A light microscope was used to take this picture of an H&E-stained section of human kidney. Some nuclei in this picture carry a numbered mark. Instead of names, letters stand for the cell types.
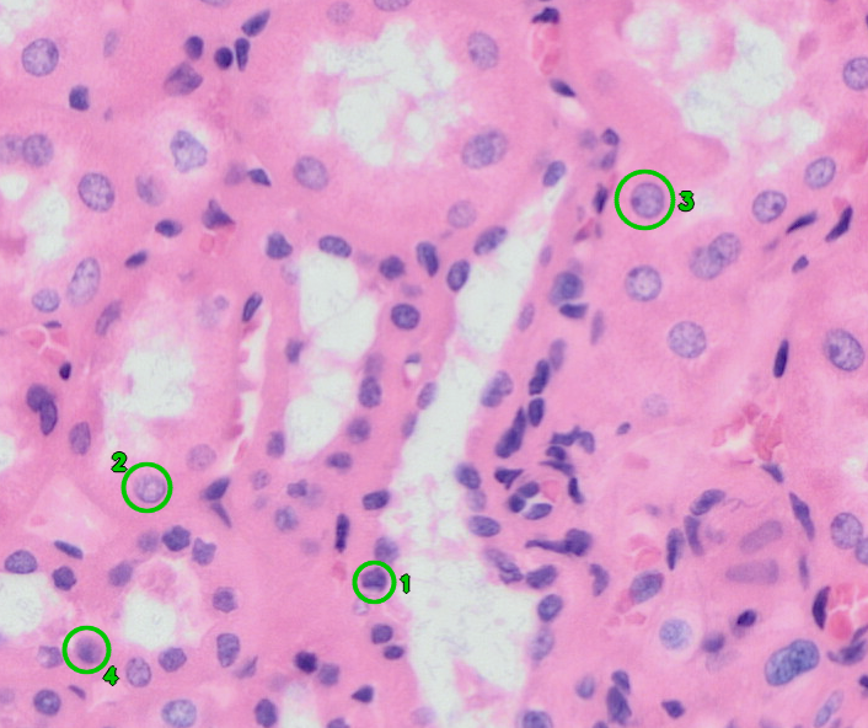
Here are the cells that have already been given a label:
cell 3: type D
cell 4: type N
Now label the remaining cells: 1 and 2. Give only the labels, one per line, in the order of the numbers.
type N
type D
